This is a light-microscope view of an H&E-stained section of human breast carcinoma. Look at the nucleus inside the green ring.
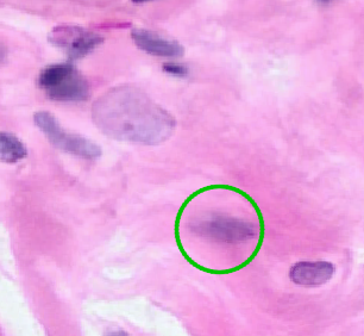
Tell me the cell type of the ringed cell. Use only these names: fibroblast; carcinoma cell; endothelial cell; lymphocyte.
fibroblast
